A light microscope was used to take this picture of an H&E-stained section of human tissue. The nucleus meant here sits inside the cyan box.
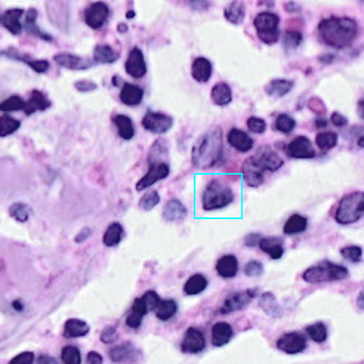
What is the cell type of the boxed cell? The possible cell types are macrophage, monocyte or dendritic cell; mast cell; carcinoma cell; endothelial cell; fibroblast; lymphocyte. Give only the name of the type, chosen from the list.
lymphocyte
